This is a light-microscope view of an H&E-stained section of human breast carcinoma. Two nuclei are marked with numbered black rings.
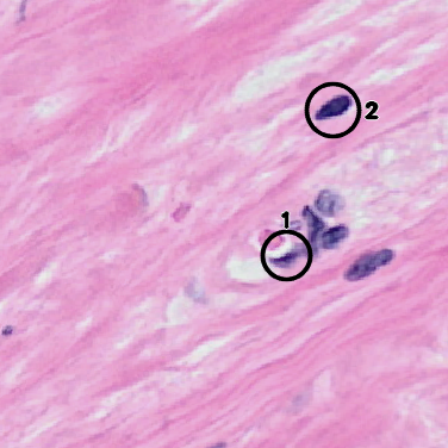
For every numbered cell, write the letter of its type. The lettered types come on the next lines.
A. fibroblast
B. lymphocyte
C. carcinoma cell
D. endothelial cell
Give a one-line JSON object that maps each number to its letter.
{"1": "D", "2": "B"}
